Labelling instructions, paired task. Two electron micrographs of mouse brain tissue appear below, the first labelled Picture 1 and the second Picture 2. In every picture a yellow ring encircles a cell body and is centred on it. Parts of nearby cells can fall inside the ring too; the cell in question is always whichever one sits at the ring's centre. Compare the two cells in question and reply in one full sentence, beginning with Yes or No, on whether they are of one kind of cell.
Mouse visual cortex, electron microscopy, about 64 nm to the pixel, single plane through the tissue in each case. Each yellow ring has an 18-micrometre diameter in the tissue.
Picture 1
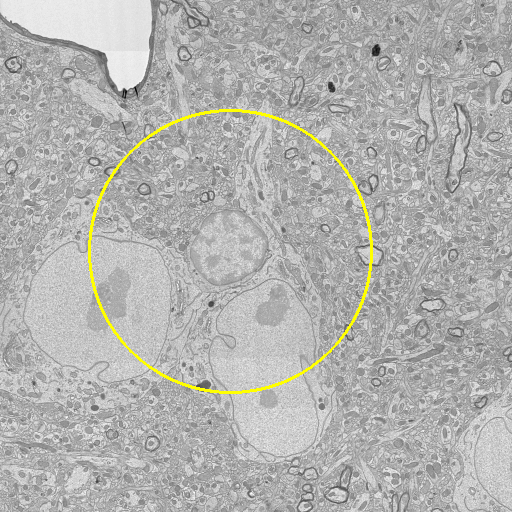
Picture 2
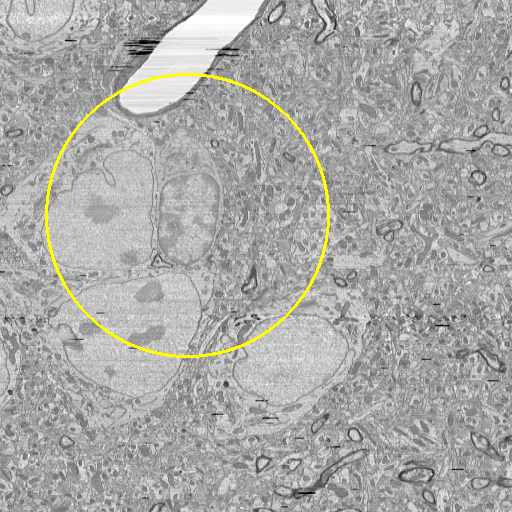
Yes, the two cells at the ring centres in Picture 1 and Picture 2 are of one kind.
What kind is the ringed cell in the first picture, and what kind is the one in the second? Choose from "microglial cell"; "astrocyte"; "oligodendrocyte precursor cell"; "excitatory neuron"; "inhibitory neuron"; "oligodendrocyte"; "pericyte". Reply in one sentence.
Each of the two pictures has an oligodendrocyte at the ring centre.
